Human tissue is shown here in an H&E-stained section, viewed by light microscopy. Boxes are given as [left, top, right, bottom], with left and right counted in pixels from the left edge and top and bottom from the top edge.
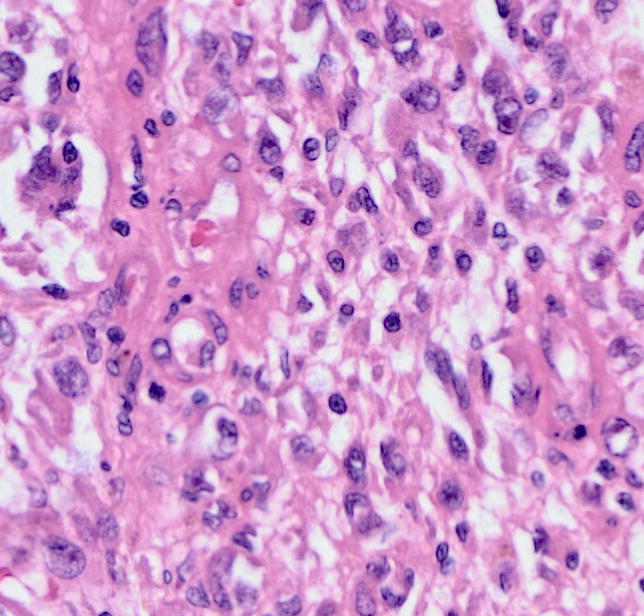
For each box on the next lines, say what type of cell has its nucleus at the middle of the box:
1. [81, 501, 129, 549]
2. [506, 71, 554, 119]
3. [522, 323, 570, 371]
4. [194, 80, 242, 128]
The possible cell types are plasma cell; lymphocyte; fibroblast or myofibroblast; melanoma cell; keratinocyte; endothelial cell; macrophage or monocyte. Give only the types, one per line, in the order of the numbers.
melanoma cell
lymphocyte
endothelial cell
melanoma cell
